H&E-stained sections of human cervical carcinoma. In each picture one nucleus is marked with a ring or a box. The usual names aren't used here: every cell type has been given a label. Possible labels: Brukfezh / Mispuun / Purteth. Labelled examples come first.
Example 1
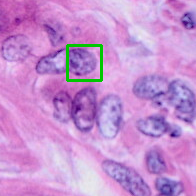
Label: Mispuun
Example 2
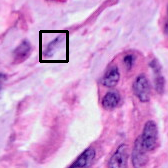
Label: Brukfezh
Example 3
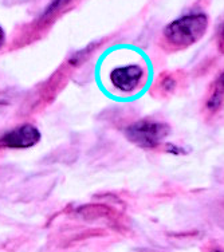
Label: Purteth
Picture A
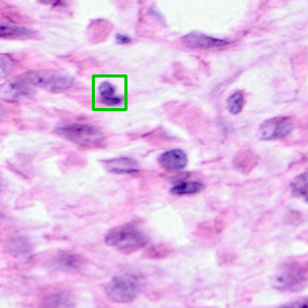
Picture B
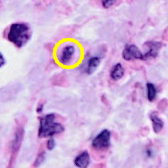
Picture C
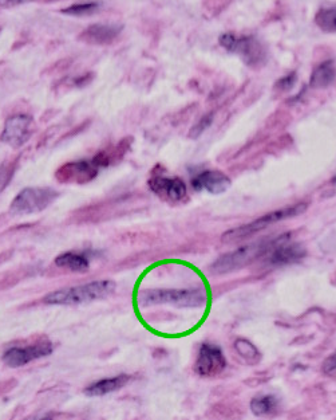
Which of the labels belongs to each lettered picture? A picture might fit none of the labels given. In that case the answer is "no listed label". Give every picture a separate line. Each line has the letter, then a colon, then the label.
A: Purteth
B: Purteth
C: Brukfezh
